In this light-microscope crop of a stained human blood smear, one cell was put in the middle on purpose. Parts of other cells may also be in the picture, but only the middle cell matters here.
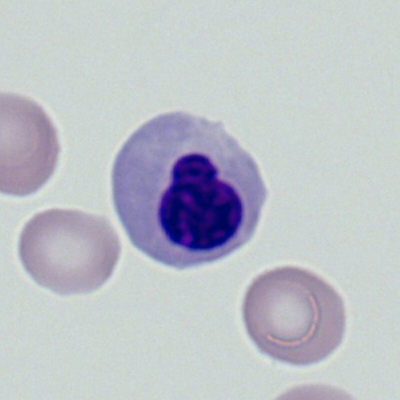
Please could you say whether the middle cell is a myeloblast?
no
